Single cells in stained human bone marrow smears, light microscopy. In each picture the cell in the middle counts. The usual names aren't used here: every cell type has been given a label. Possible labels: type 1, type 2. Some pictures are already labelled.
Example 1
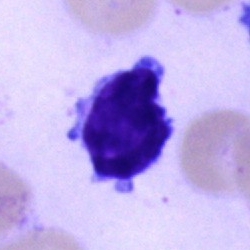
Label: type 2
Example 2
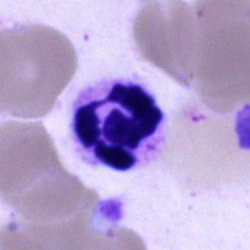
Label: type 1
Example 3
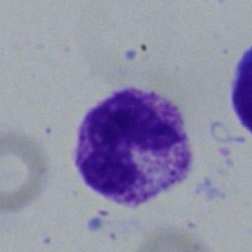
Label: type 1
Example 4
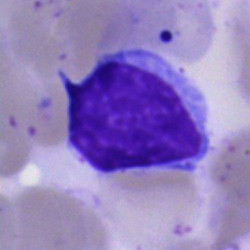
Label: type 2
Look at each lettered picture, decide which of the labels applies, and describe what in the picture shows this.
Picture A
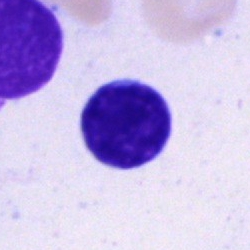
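type 2: Cytoplasm is scant, at most a very thin rim around the nucleus.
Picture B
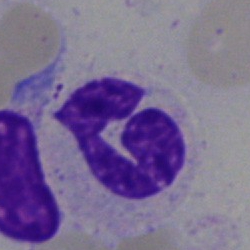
type 1: The nucleus is bent into a thick curved band around a narrow V-shaped gap that opens toward the top.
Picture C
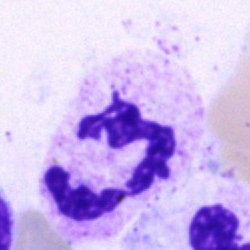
type 1: The nucleus is a long curved band bent into a hook shape that opens toward the left.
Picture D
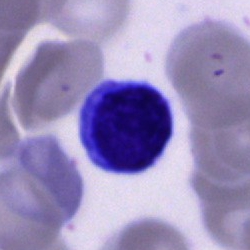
type 2: The cytoplasm is scant, at most a thin rim around the nucleus.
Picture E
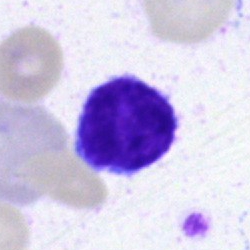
type 2: The nucleus fills almost the whole cell.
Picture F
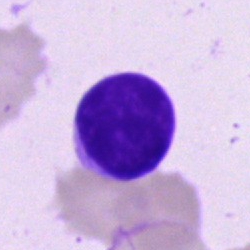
type 2: The nucleus fills almost the whole cell.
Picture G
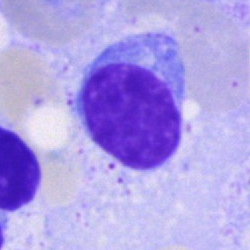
type 2: The nucleus fills most of the cell, and the cytoplasm lies mainly above it.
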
